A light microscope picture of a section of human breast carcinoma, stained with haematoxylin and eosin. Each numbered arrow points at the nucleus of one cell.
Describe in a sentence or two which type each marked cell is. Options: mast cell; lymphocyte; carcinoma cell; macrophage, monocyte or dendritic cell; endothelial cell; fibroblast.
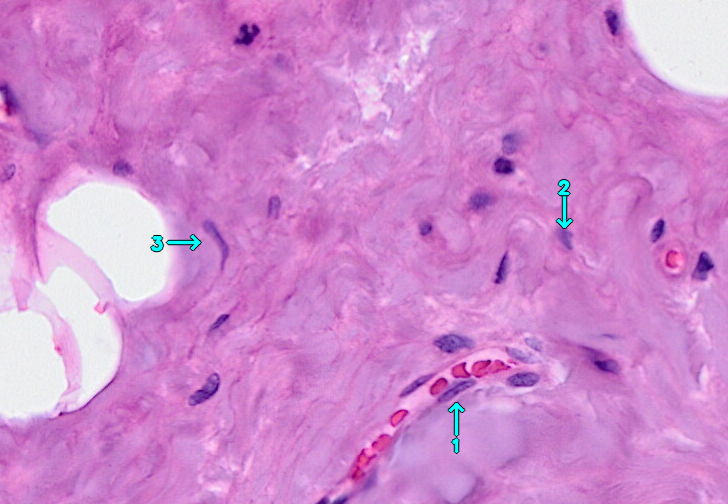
Cell 1 is an endothelial cell, cell 2 is a fibroblast and cell 3 is a fibroblast.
